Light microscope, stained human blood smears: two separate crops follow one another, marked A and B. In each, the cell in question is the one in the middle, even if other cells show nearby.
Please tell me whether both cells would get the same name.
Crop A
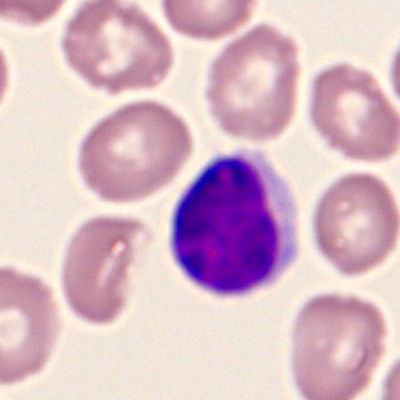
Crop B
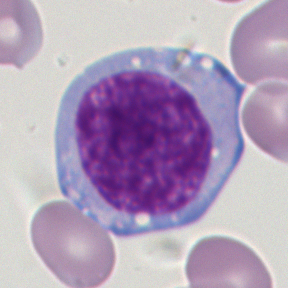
no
